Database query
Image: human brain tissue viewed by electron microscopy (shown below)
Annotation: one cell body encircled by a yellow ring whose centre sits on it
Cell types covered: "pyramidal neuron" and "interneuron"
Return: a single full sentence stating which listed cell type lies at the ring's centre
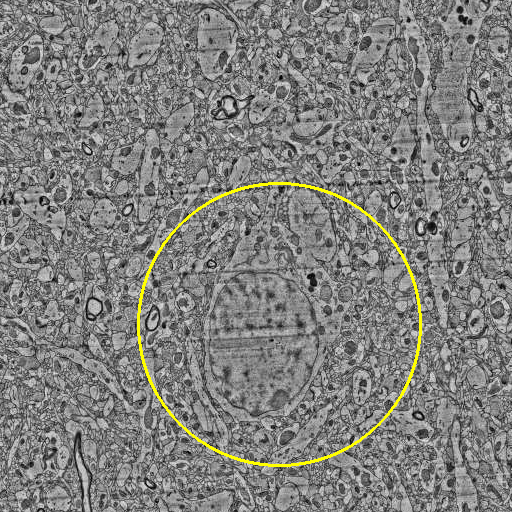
In the image, the cell lying at the ring's centre is an interneuron.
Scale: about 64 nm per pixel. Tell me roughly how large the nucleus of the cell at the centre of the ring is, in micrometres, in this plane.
The nucleus is approximately 10 micrometers long by 8 micrometers wide in this plane.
